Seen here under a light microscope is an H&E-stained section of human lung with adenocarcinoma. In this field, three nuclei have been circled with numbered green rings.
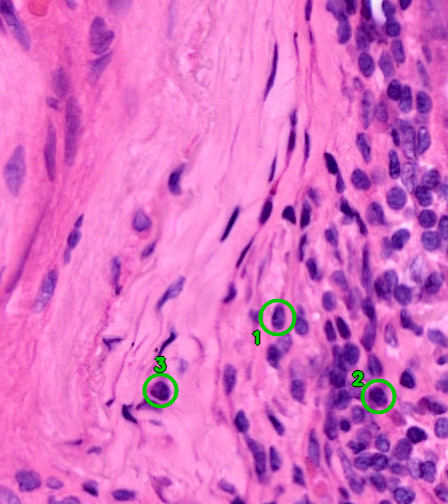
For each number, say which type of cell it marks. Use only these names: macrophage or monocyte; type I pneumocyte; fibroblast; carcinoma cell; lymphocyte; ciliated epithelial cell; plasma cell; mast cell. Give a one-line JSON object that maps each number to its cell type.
{"1": "lymphocyte", "2": "plasma cell", "3": "plasma cell"}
